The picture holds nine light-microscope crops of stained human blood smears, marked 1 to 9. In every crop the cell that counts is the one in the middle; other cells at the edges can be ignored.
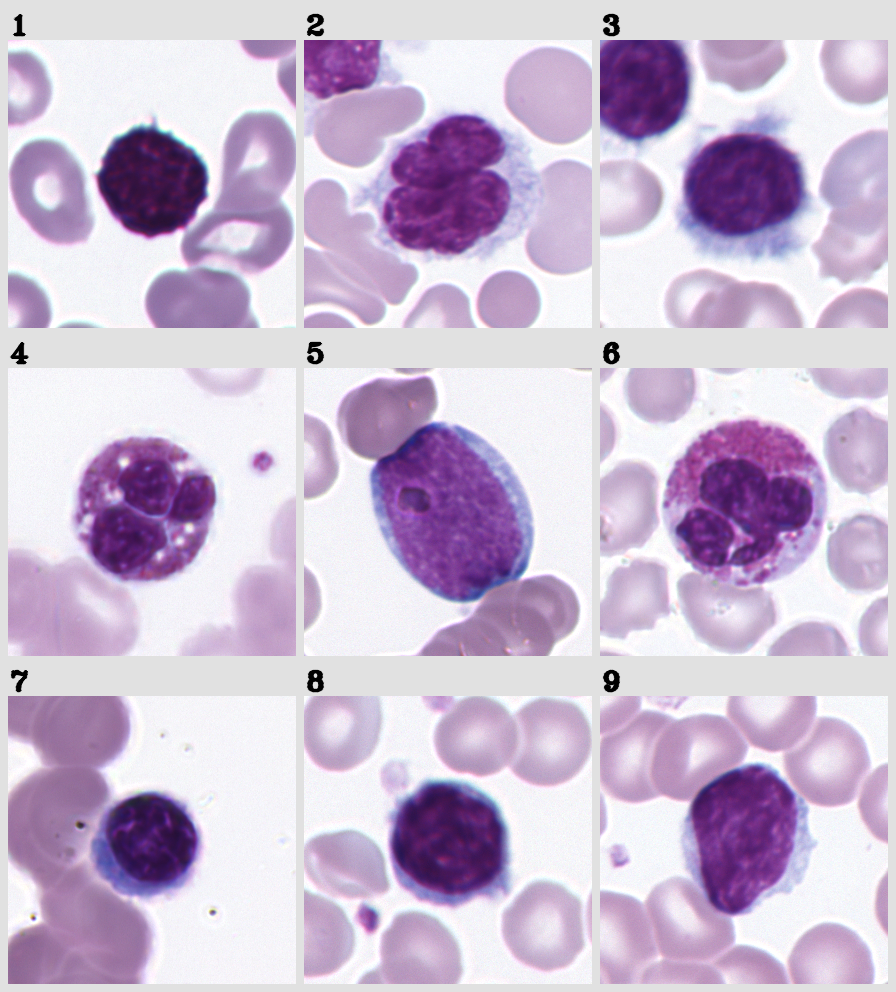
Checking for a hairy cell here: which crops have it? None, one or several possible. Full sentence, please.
What crops 2 and 3 show in the centre are hairy cells.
